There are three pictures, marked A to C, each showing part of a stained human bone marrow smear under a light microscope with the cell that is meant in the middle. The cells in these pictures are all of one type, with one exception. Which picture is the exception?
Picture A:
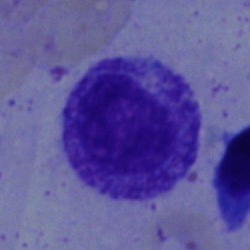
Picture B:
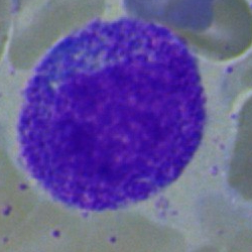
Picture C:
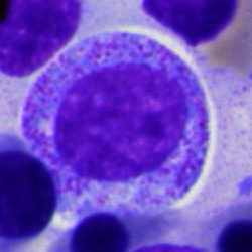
B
